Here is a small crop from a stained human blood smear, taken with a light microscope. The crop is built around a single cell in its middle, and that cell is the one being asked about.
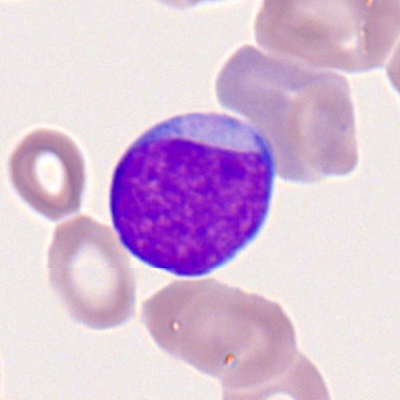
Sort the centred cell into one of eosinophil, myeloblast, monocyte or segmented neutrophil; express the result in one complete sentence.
For this crop, the central cell is a myeloblast.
